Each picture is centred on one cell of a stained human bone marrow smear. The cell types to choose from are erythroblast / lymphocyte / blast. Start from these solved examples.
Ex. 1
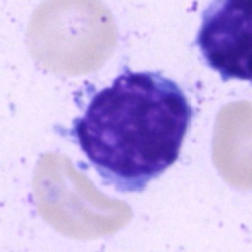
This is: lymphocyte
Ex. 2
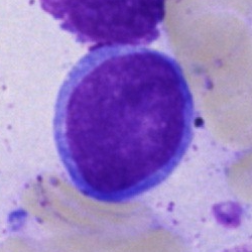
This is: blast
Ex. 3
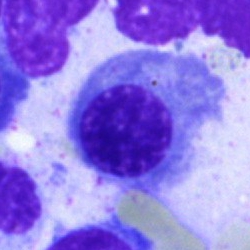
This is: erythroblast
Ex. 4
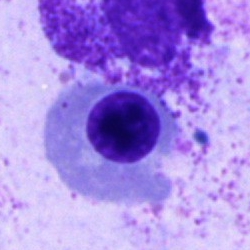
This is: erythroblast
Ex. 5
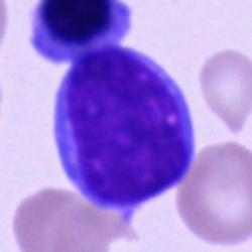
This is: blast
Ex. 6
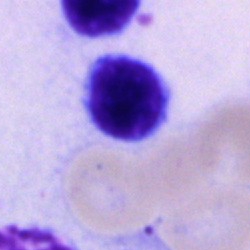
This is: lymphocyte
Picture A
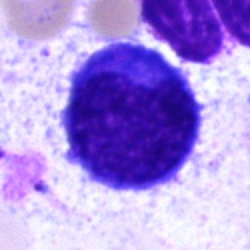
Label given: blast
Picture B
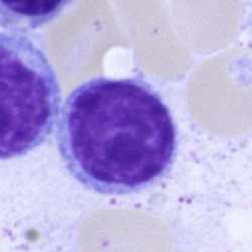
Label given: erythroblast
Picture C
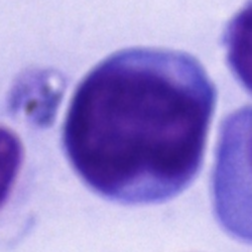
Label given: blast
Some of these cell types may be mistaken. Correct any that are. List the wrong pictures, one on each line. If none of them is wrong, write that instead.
B: lymphocyte, not erythroblast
